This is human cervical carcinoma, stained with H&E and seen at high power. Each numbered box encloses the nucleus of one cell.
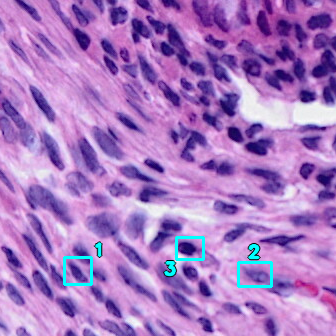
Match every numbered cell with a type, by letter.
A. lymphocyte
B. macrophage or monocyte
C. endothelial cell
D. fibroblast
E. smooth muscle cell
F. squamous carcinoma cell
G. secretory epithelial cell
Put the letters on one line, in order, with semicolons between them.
D; C; A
